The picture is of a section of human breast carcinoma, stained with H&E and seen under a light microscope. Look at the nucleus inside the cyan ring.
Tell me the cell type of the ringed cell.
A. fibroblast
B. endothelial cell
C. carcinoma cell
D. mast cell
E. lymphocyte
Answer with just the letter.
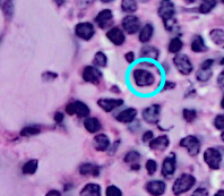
E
